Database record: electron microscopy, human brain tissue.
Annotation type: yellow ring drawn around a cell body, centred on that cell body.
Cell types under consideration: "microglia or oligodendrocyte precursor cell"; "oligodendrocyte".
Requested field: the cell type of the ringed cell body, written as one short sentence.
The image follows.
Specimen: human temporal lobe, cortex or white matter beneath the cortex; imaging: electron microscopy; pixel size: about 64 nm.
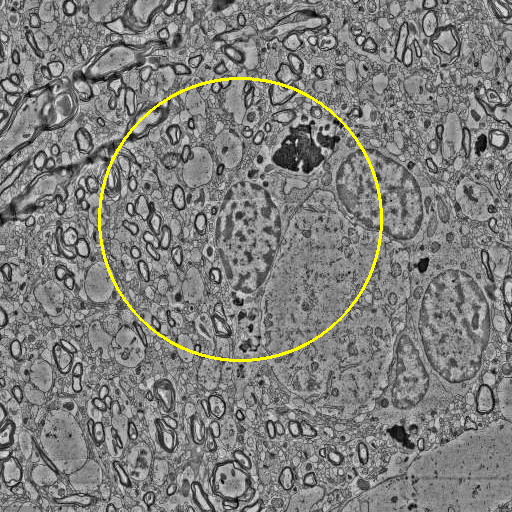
The ringed cell body represents a microglial cell or oligodendrocyte precursor cell.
